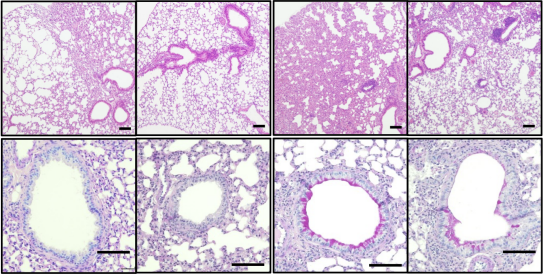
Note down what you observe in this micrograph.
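These are sections of lung. In the top row, at low power, pink-stained tissue forms a fine lace of air spaces, broken by larger round or branching tubes, the airways and vessels, some with thicker pink walls. In some images the air spaces look denser and more crowded with tissue and cells.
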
